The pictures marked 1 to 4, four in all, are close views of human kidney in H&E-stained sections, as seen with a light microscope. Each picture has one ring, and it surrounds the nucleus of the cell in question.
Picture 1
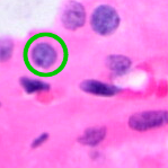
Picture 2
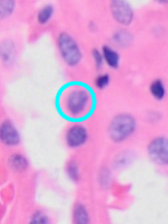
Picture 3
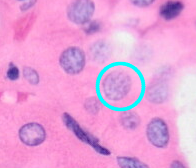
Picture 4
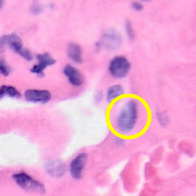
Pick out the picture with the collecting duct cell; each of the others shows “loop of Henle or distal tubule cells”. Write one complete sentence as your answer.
The cell in picture 4 is the collecting duct cell.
